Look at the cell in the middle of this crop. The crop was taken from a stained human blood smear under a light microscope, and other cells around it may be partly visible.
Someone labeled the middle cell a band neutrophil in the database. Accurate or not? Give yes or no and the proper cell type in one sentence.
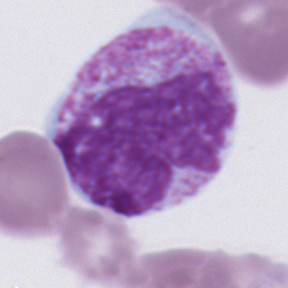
Yes, the cell at the crop's center is a band neutrophil.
